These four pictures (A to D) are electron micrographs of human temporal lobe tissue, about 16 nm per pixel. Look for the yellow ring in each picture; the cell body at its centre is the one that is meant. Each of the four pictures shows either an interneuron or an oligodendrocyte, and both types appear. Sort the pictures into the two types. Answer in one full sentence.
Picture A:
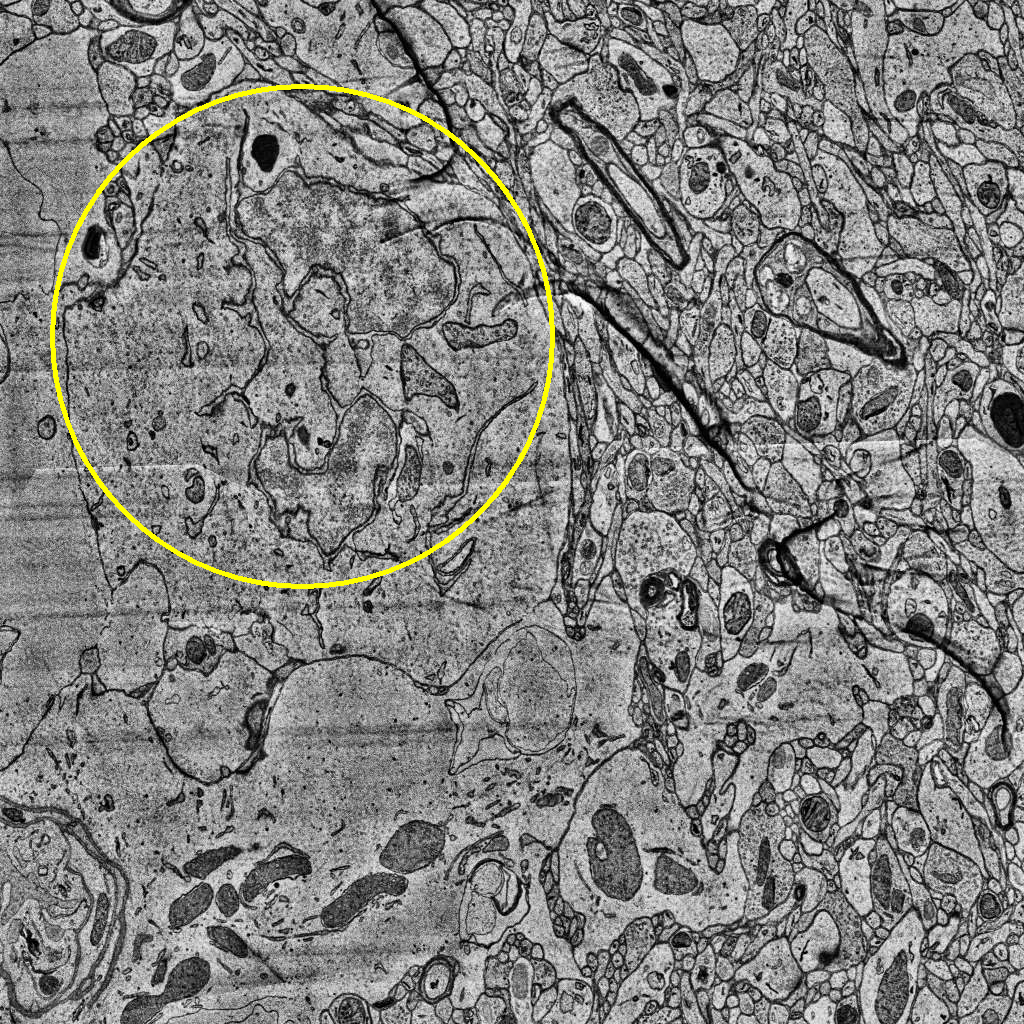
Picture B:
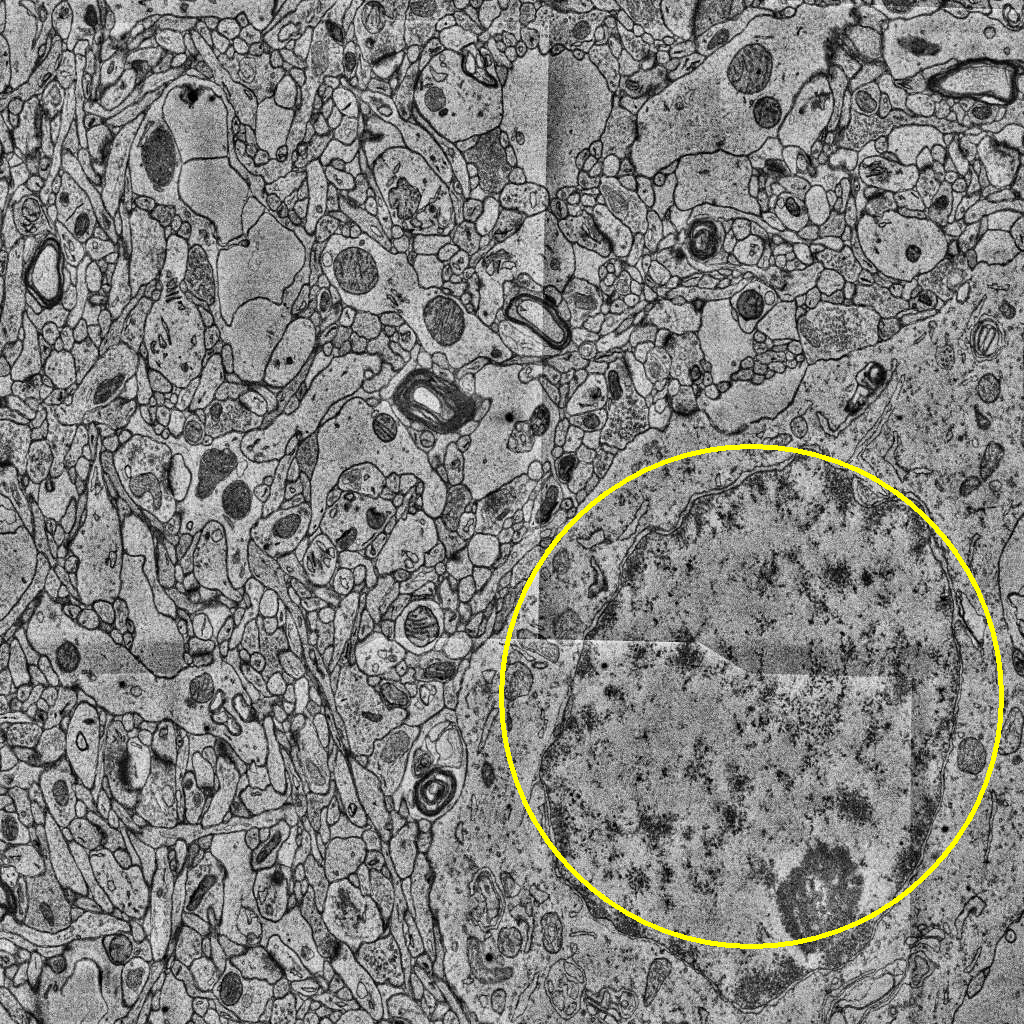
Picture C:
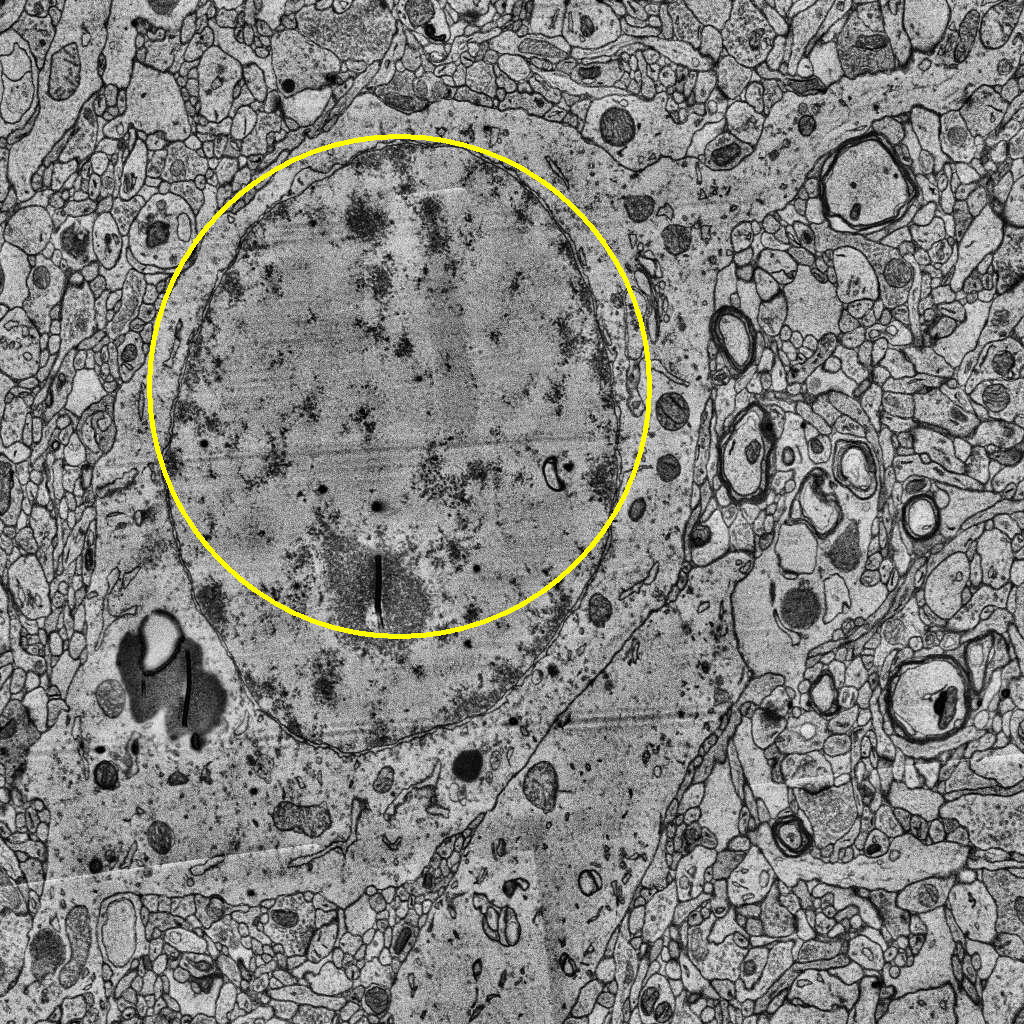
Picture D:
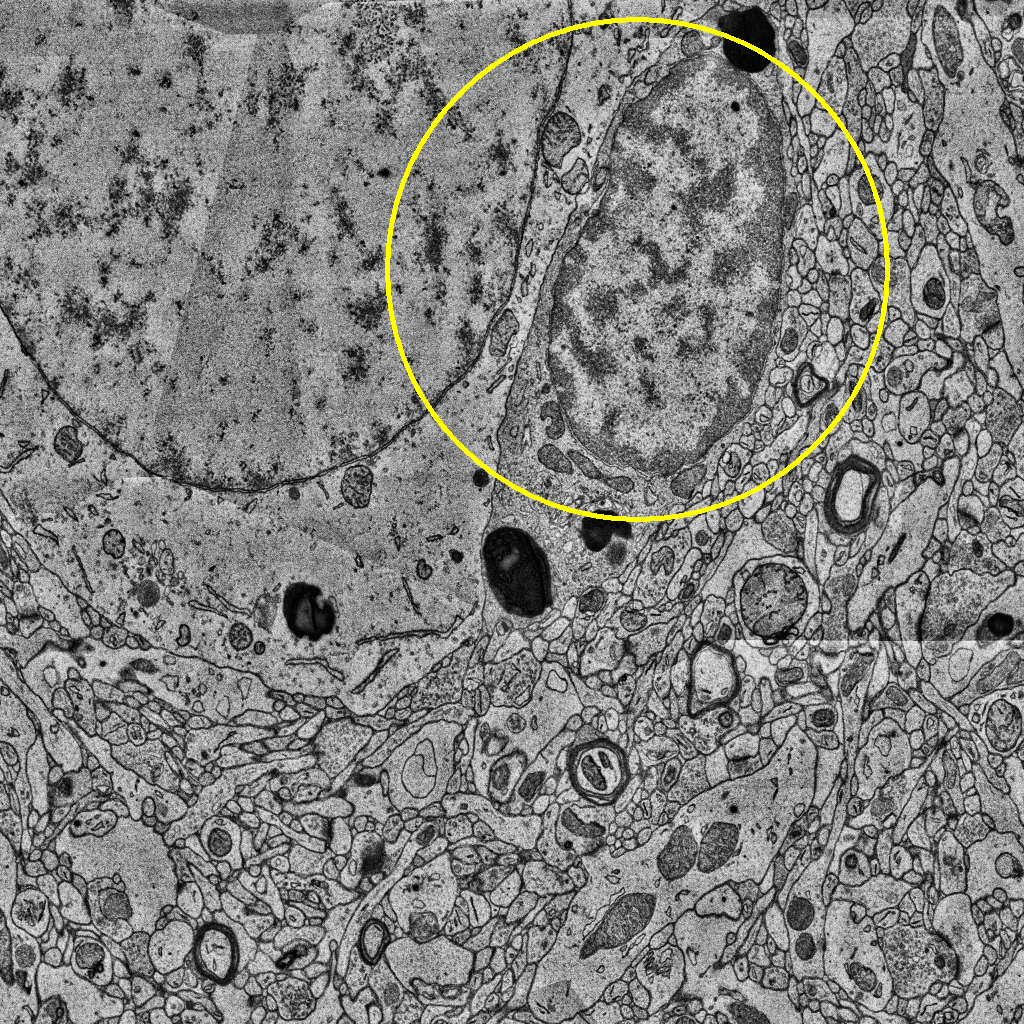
Pictures A, B and C show interneurons; picture D shows an oligodendrocyte.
